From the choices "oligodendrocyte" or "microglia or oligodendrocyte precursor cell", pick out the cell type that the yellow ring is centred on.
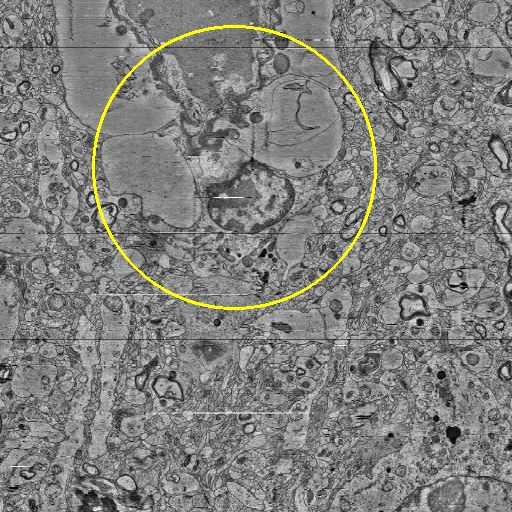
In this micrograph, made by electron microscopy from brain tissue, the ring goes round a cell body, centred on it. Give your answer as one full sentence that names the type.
The yellow ring is centred on a microglial cell or oligodendrocyte precursor cell, whose cell body it encircles in the picture.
